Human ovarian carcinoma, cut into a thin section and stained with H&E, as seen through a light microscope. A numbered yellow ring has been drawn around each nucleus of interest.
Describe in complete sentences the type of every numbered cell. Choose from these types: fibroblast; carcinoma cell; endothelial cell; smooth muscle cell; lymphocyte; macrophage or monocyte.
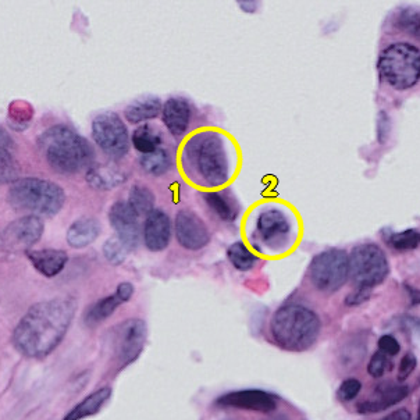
Cell 1 is a carcinoma cell. Cell 2 is a macrophage or monocyte.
